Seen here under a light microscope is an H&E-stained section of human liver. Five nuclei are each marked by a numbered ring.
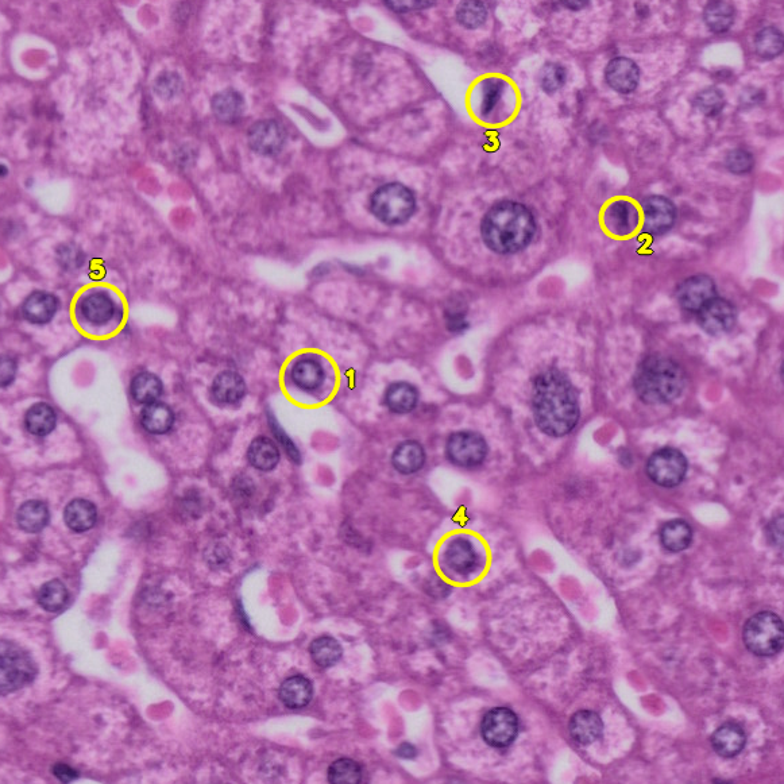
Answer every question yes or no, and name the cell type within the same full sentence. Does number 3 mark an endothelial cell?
Yes, that is correct: the cell numbered 3 is an endothelial cell.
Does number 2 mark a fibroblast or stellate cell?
Yes, exactly, the cell numbered 2 is a fibroblast or stellate cell.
